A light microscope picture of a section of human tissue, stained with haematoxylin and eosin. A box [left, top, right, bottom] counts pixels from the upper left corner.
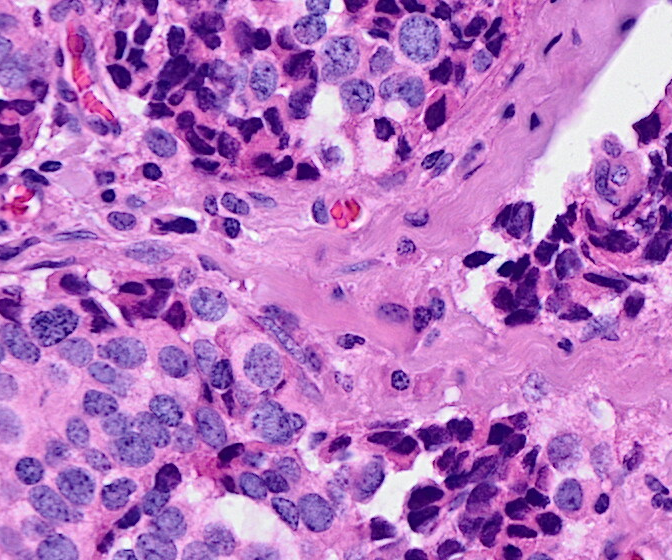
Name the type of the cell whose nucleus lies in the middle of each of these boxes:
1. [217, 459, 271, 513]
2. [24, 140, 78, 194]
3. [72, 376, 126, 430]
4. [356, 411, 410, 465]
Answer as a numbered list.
1. carcinoma cell
2. lymphocyte
3. carcinoma cell
4. carcinoma cell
